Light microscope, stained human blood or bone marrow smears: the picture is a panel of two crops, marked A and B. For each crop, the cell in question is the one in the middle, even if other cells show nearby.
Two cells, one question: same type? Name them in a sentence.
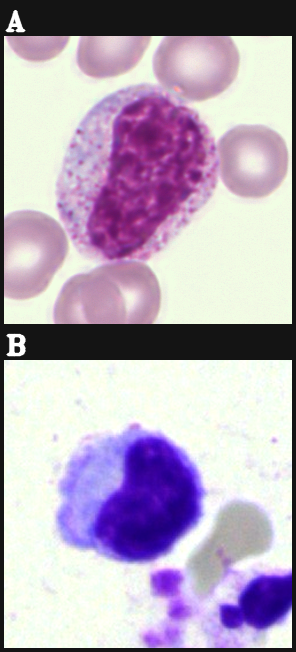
Yes, both crops do show metamyelocytes in the middle.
